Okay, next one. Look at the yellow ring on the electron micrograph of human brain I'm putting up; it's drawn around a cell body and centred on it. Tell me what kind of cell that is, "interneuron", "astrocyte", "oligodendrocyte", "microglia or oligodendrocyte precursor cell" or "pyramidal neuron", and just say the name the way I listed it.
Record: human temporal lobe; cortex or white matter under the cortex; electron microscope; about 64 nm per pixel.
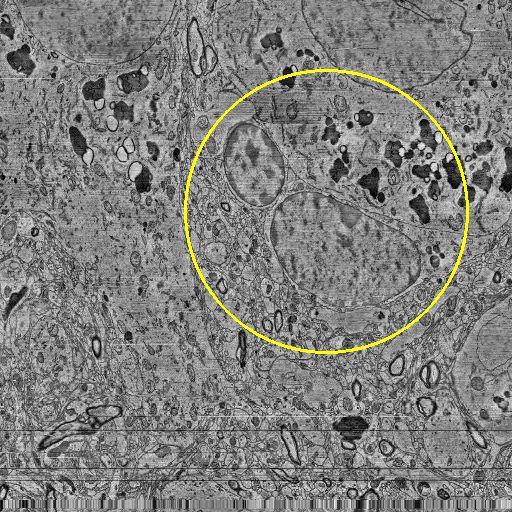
microglia or oligodendrocyte precursor cell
